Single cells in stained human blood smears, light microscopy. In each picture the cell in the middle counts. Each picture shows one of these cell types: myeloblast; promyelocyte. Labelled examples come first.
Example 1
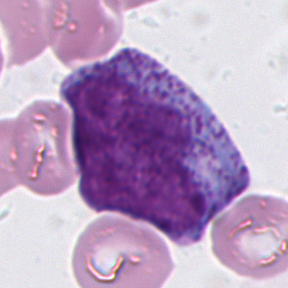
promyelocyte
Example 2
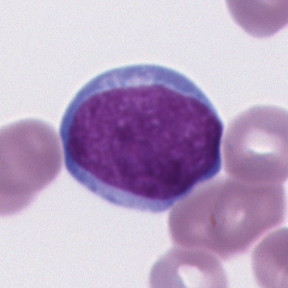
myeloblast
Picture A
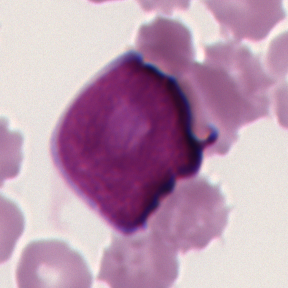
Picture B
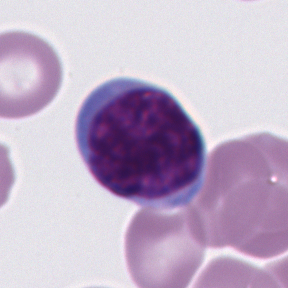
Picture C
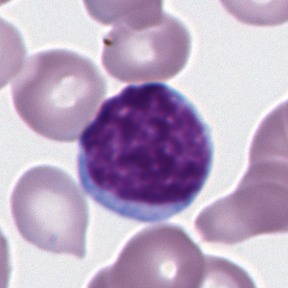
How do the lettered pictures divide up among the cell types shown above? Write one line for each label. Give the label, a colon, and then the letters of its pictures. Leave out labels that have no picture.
myeloblast: A, B, C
